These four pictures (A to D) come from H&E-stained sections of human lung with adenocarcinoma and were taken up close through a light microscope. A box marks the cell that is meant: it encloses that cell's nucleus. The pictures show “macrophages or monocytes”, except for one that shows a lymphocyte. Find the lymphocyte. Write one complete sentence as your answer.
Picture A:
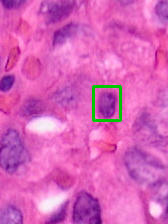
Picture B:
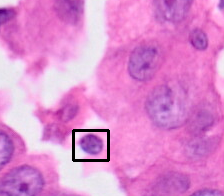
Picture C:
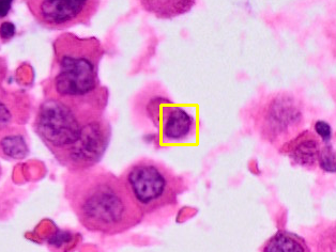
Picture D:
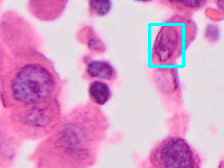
It is picture B that shows the lymphocyte.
